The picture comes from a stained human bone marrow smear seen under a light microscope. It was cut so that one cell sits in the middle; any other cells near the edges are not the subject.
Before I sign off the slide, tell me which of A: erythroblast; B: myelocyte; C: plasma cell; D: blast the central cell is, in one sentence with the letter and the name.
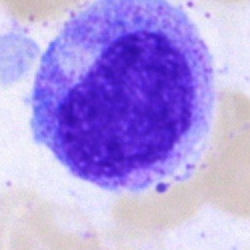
What option B states is correct, the central cell being a myelocyte.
